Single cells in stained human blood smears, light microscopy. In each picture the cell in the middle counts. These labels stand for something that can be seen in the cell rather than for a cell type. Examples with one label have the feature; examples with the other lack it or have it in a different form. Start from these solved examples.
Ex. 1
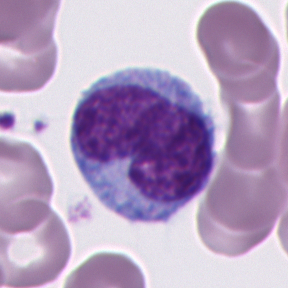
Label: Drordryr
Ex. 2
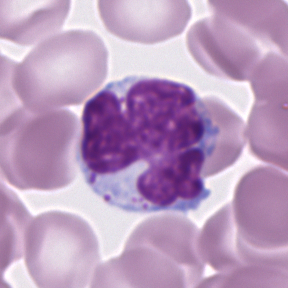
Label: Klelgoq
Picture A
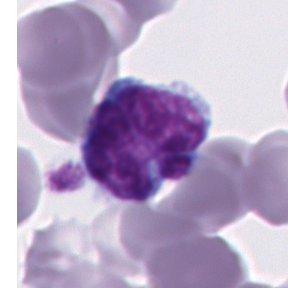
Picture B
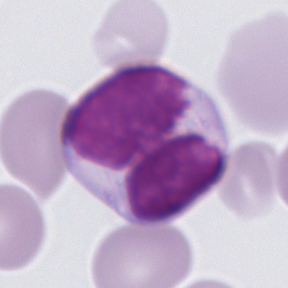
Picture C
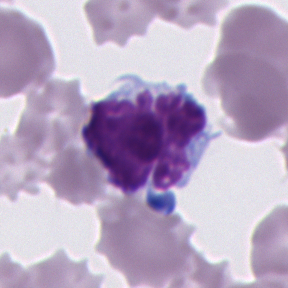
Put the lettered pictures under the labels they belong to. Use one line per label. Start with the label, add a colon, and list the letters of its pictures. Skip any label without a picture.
Klelgoq: A, B, C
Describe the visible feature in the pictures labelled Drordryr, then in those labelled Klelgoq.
In Drordryr: single compact nucleus. In Klelgoq: lobed nucleus.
